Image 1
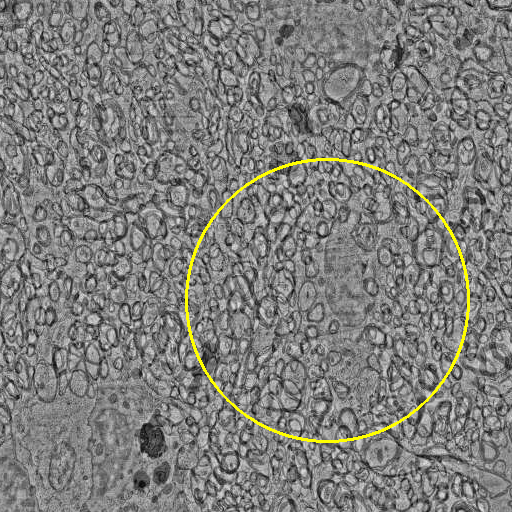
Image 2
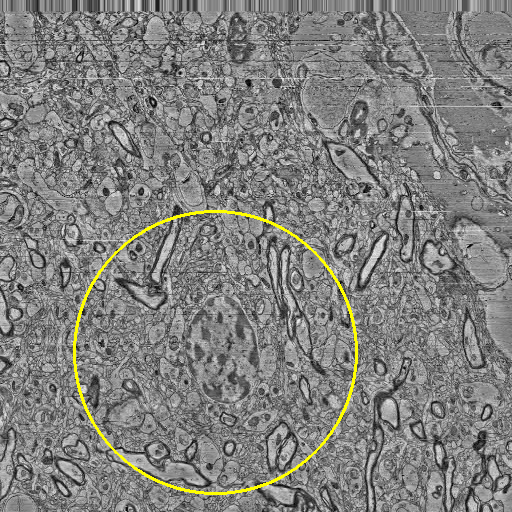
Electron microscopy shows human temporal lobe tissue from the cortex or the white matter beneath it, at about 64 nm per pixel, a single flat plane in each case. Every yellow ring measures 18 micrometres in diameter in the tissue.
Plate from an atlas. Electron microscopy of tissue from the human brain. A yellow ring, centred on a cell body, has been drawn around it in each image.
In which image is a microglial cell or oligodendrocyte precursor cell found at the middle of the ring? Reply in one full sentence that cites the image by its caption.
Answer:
The requested cell is the one at the ring's centre in Image 2.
